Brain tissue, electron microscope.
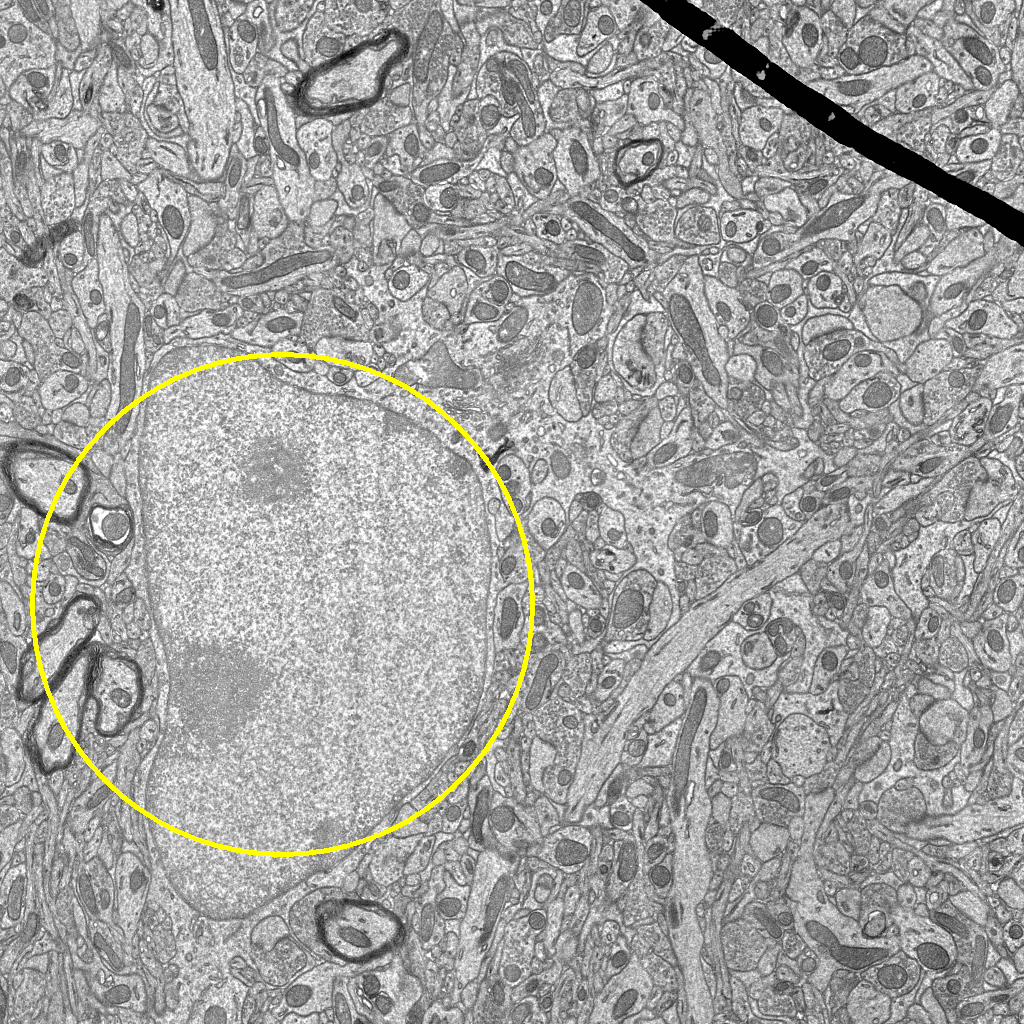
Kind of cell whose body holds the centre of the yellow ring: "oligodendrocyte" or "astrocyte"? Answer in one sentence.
The ring's centre falls on an astrocyte.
